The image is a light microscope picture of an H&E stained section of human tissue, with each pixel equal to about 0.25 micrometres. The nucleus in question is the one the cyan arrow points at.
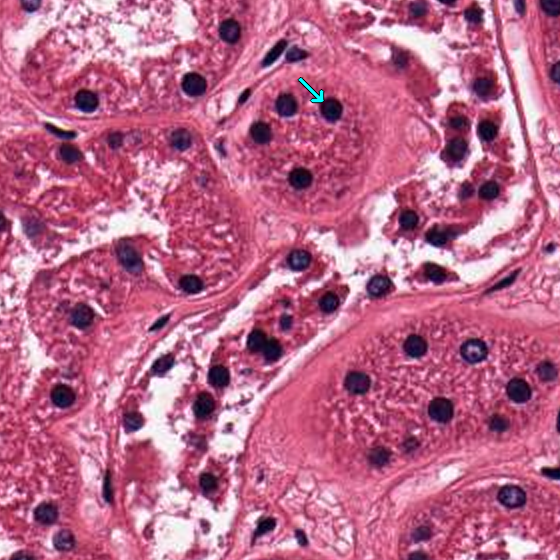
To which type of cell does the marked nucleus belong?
proximal tubule cell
